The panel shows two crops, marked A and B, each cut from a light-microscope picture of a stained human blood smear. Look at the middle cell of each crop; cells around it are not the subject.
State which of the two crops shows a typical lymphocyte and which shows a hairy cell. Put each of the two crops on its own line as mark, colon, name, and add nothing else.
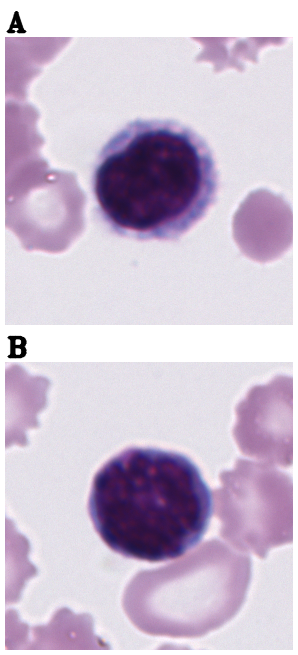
A: hairy cell
B: typical lymphocyte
